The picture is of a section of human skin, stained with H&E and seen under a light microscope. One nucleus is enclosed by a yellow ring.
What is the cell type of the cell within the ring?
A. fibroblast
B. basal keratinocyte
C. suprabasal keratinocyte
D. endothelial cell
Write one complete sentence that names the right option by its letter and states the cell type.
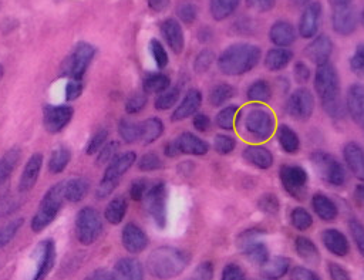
The accurate option is B, with the cell within the ring being a basal keratinocyte.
